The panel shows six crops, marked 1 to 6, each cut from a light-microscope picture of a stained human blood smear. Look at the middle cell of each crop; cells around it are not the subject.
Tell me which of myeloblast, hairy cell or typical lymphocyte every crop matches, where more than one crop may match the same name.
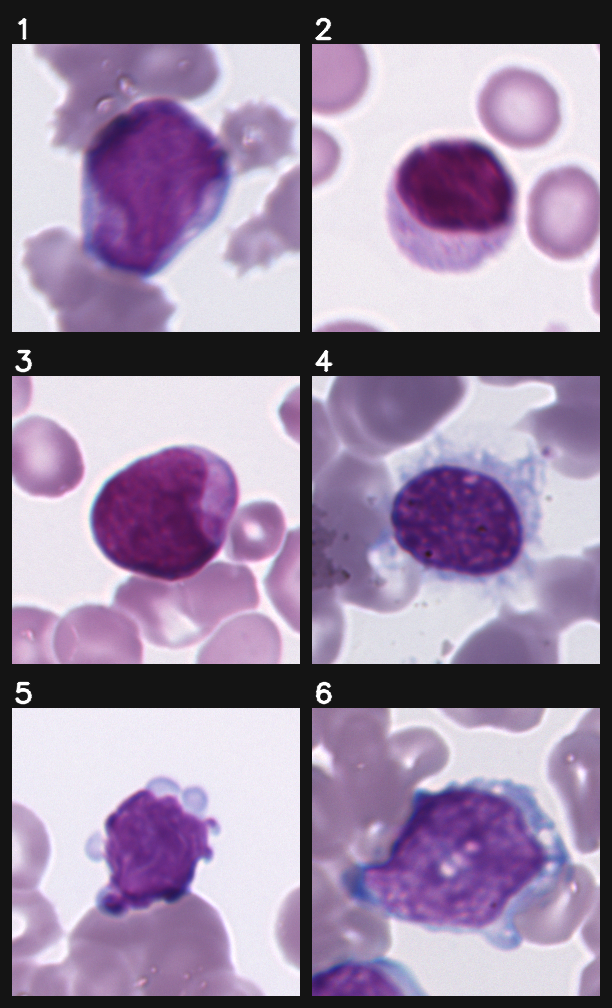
1: myeloblast
2: typical lymphocyte
3: myeloblast
4: hairy cell
5: typical lymphocyte
6: myeloblast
